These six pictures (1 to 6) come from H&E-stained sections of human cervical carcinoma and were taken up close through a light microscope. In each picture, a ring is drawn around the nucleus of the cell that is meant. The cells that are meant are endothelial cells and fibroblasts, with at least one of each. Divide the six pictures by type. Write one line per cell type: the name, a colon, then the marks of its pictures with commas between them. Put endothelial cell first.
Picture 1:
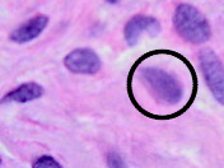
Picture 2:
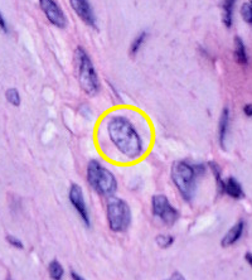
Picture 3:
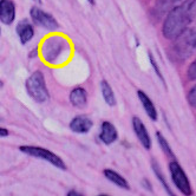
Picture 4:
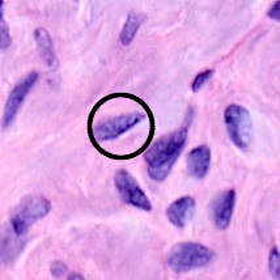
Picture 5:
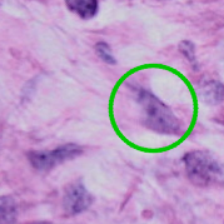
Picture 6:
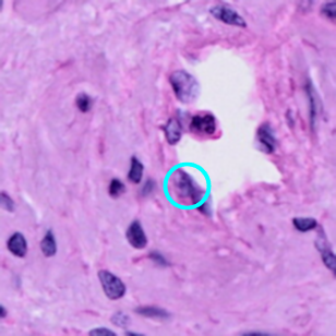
endothelial cell: 2, 3, 6
fibroblast: 1, 4, 5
